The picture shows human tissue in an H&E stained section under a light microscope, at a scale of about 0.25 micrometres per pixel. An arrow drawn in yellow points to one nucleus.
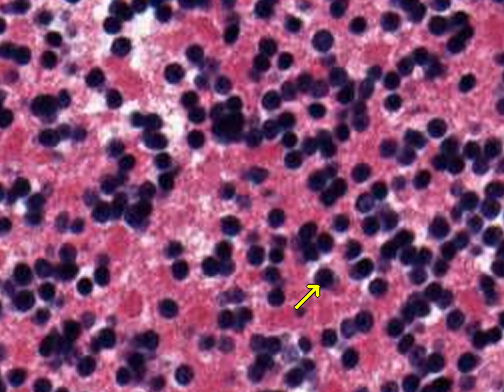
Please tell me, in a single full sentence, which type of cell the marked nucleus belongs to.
The mark falls on a nucleus belonging to a cerebellar granule cell.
